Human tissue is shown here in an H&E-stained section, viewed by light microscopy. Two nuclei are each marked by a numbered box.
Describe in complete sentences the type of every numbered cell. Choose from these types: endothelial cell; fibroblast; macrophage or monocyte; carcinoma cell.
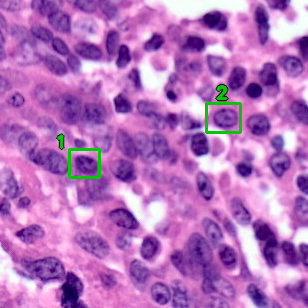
Cell 1 is a carcinoma cell and cell 2 is a macrophage or monocyte.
